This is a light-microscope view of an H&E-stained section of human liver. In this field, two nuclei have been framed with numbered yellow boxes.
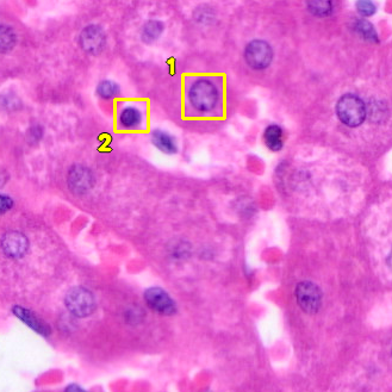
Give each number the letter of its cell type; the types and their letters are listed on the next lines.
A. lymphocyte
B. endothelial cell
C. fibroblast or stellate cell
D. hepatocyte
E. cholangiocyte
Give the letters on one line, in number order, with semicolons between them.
D; A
